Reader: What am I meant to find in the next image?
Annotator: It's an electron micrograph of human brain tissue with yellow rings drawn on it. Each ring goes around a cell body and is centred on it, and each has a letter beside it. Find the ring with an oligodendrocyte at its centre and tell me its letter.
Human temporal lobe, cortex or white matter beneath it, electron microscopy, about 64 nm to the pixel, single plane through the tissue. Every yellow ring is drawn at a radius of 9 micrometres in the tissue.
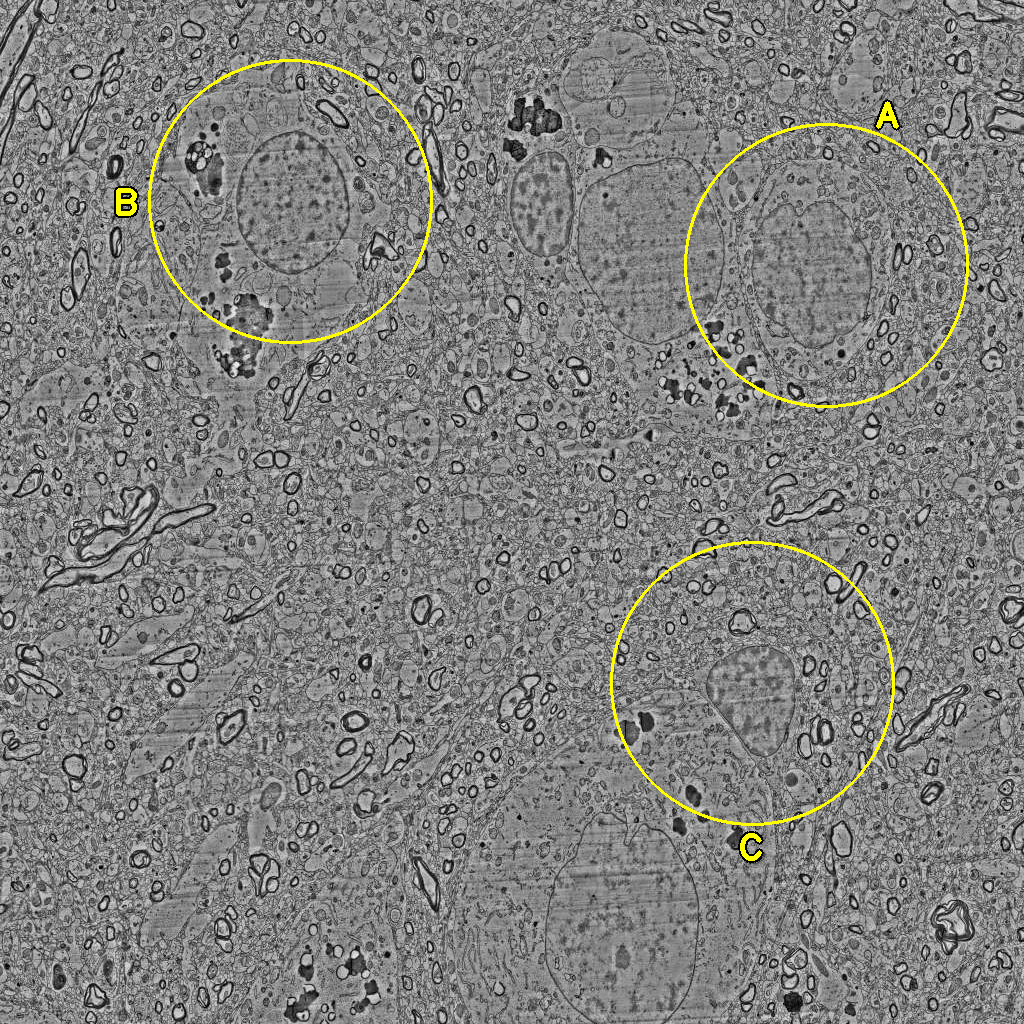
C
